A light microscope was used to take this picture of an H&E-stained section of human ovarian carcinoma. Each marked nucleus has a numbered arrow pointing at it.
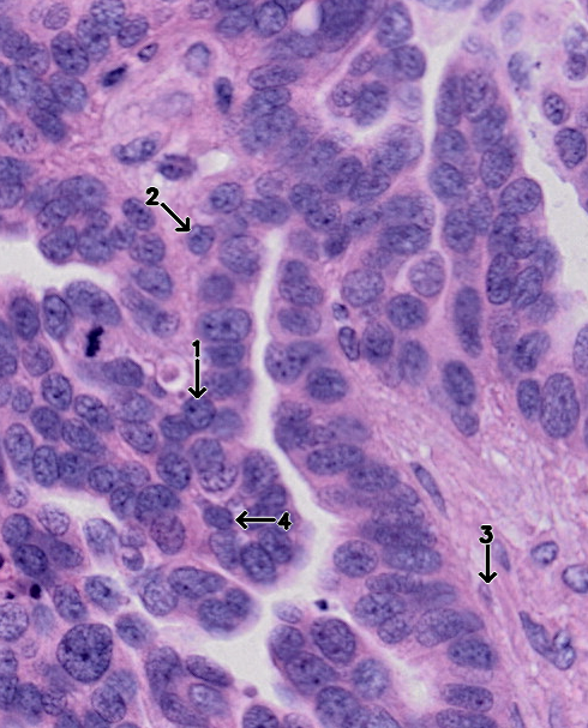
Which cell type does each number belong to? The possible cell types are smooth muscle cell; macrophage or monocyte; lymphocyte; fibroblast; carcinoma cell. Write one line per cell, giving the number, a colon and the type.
1: carcinoma cell
2: carcinoma cell
3: fibroblast
4: carcinoma cell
